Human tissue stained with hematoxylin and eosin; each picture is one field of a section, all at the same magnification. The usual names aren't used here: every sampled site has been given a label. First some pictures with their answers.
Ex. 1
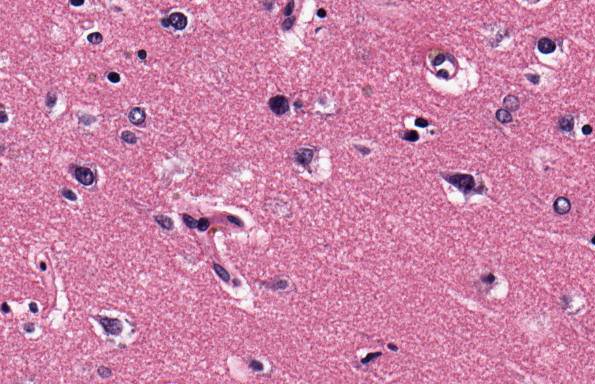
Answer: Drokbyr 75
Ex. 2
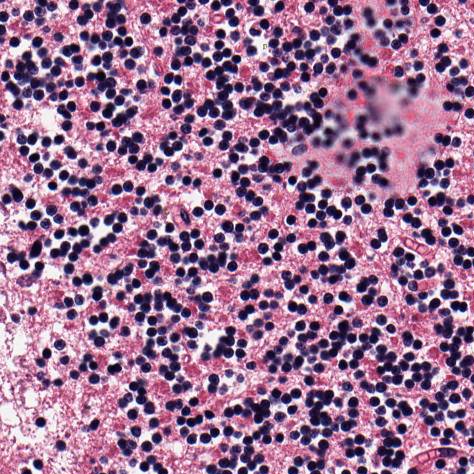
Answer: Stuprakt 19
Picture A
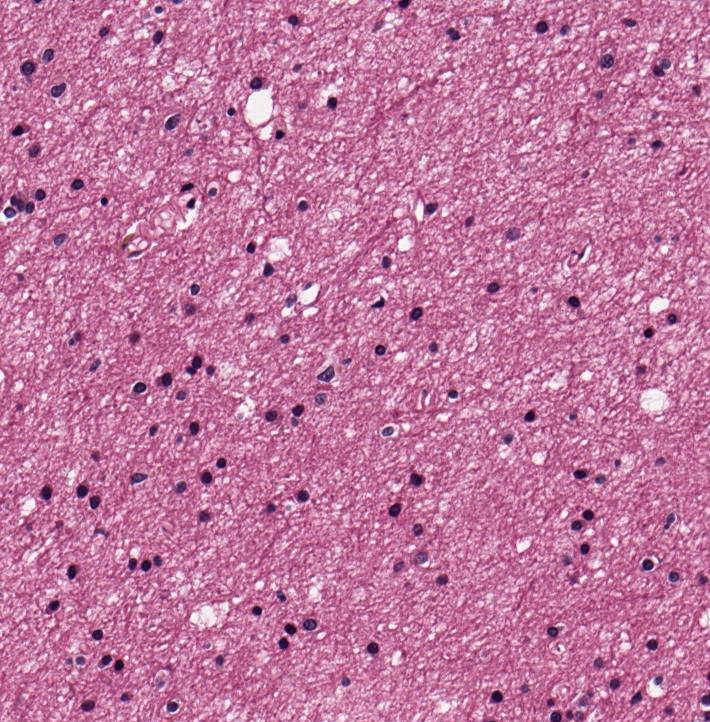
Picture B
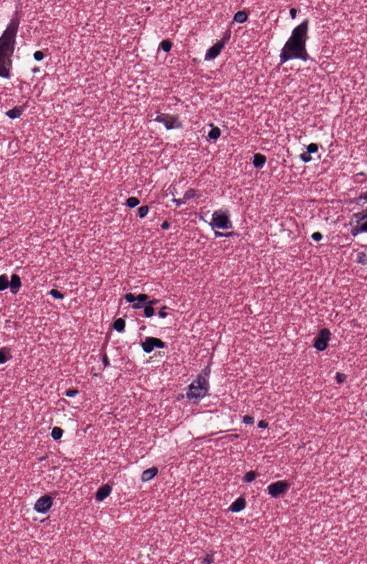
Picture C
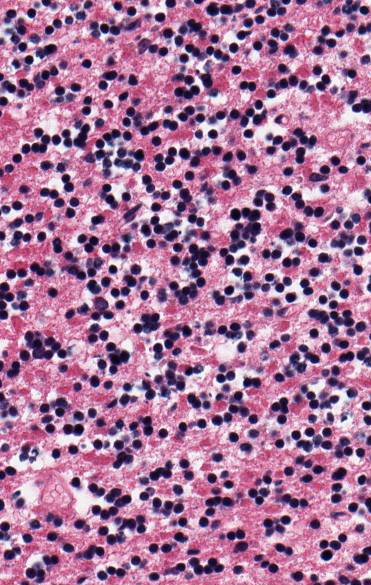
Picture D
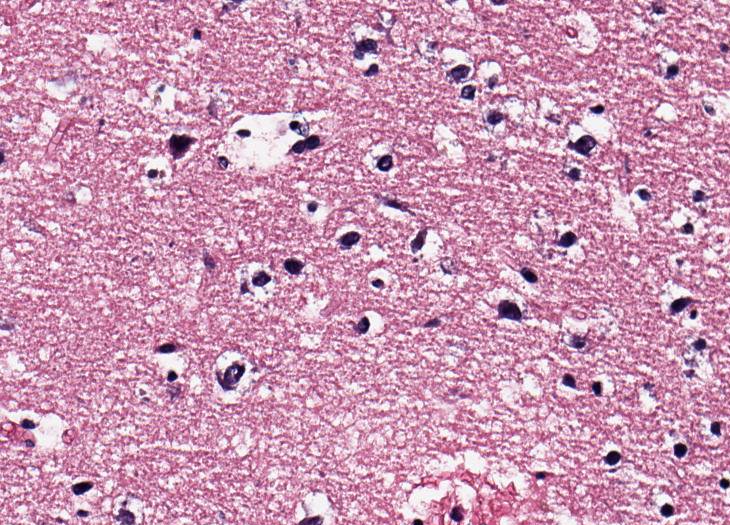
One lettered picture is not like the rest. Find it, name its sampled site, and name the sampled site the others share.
C (Stuprakt 19) is the exception; every other picture is Drokbyr 75.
